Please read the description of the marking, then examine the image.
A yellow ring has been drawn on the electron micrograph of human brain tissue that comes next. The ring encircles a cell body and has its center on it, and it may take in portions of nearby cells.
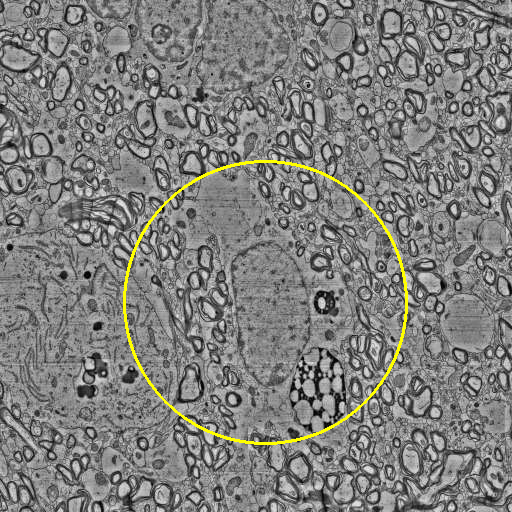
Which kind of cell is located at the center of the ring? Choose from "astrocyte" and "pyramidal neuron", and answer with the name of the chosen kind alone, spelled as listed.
astrocyte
